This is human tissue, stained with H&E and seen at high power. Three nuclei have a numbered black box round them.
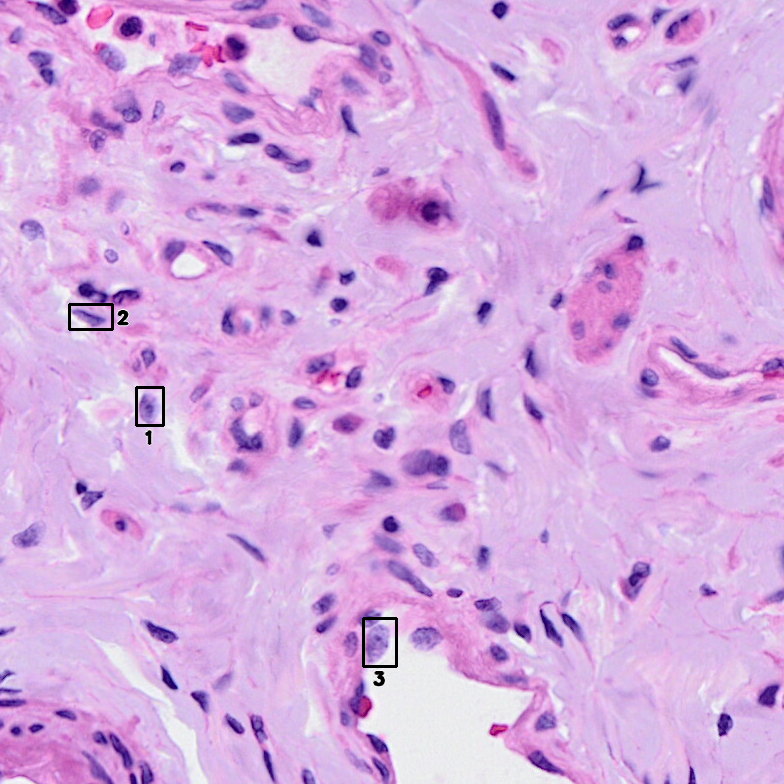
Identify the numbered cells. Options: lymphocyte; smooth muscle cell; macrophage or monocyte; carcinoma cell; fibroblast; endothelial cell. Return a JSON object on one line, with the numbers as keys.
{"1": "fibroblast", "2": "fibroblast", "3": "endothelial cell"}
